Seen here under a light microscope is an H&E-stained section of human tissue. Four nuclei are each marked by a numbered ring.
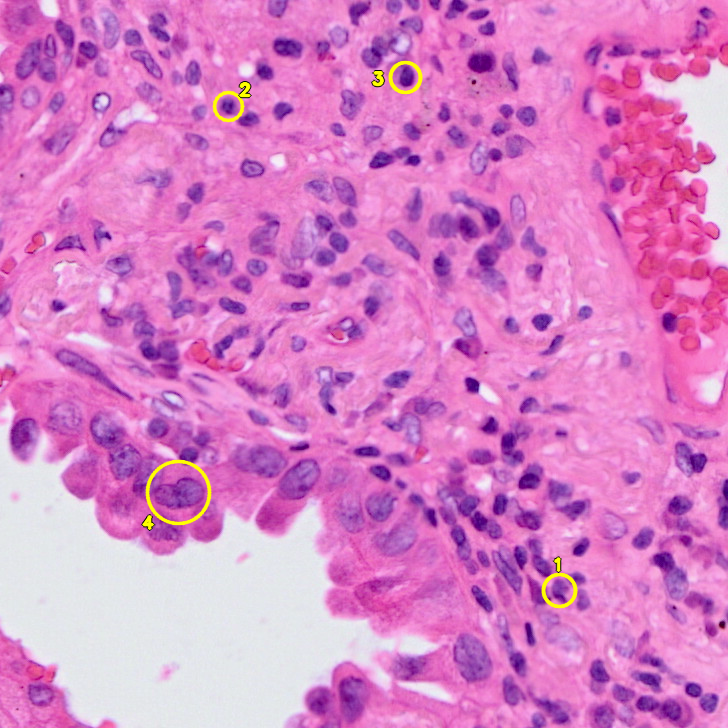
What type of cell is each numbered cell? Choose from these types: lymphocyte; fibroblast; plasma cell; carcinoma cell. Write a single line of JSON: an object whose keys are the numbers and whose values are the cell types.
{"1": "lymphocyte", "2": "lymphocyte", "3": "lymphocyte", "4": "carcinoma cell"}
